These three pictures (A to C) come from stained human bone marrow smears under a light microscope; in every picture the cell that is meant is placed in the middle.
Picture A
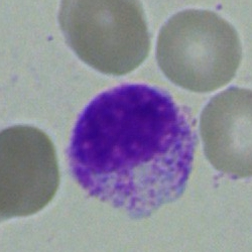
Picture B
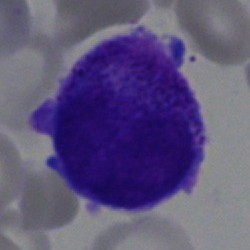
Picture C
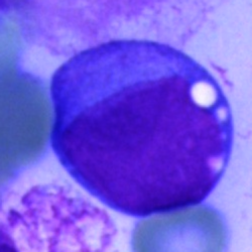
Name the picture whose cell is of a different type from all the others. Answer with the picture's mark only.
A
